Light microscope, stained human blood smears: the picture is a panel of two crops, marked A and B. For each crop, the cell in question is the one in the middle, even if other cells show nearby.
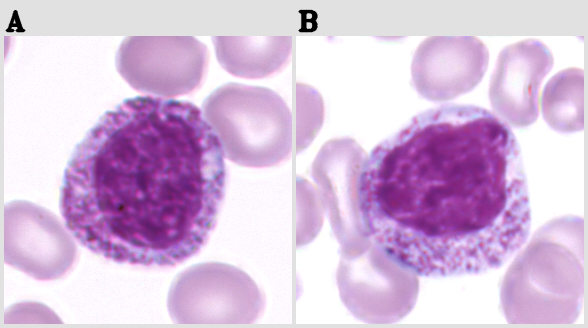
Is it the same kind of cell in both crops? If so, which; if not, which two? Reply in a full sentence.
Yes, both crops show myelocytes, to put it briefly.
